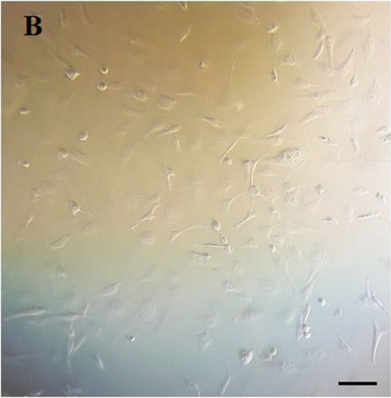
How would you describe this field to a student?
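Scattered across the dish are flat, elongated, spindle-shaped cells with thin tapering processes at both ends. Some cells are more rounded or triangular, and a few lie close together while open spaces remain between others.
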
